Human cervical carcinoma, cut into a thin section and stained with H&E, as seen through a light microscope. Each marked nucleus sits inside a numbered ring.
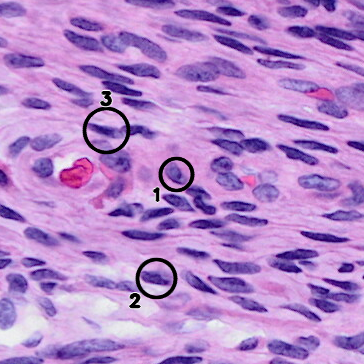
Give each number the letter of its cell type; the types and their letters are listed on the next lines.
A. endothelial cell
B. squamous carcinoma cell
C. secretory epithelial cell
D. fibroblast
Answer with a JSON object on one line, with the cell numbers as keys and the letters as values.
{"1": "A", "2": "D", "3": "D"}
